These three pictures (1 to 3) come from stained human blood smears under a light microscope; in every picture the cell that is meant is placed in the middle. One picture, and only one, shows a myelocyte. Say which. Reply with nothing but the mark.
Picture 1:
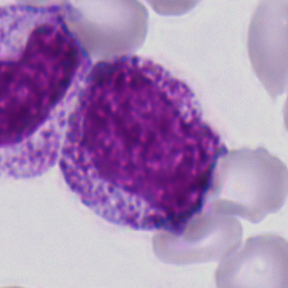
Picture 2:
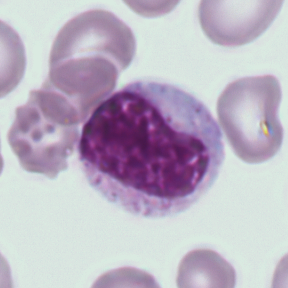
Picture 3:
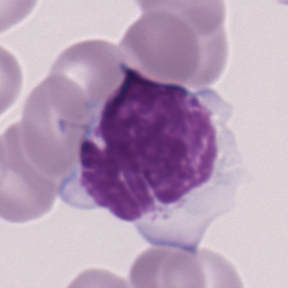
1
